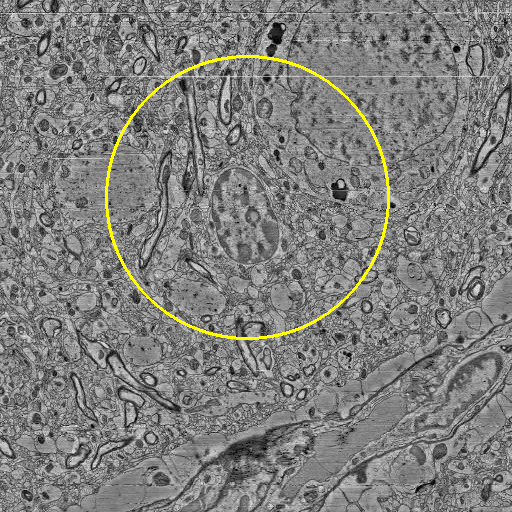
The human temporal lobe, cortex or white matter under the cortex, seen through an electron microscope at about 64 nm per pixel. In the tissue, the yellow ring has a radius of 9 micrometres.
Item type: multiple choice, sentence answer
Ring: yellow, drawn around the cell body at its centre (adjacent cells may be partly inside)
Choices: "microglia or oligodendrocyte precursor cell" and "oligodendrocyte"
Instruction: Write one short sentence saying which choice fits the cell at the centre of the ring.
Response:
This ring is drawn around a microglial cell or oligodendrocyte precursor cell.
